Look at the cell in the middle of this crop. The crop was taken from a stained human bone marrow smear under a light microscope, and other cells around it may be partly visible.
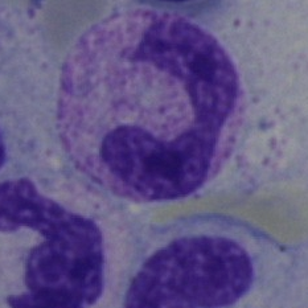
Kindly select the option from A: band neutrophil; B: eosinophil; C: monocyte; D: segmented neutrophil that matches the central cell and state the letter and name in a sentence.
Since the middle cell is a segmented neutrophil, option D is the right one.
